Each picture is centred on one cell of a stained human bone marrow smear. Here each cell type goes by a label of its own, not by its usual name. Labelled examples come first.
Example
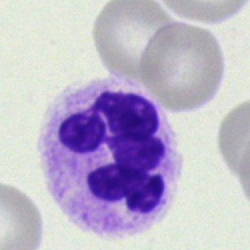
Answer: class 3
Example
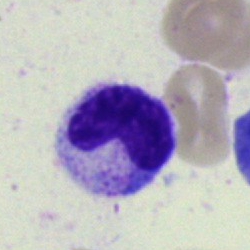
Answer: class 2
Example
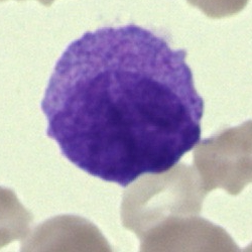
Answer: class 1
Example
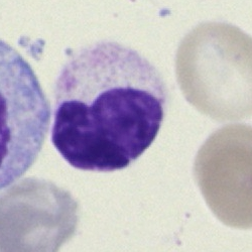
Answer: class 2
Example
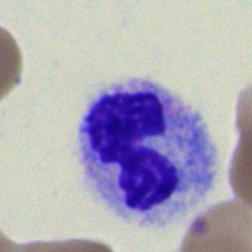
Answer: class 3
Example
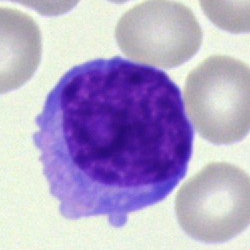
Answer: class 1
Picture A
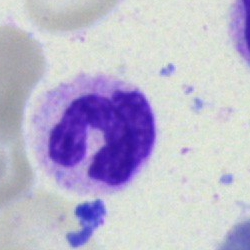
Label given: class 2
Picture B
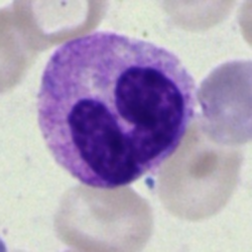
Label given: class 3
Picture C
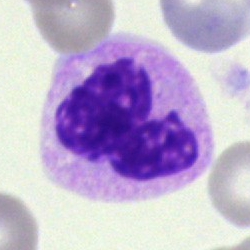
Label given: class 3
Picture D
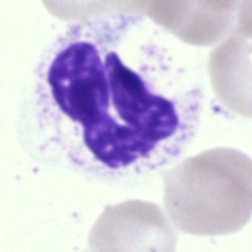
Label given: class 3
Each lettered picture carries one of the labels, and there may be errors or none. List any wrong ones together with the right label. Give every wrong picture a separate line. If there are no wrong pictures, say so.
Every label is right.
